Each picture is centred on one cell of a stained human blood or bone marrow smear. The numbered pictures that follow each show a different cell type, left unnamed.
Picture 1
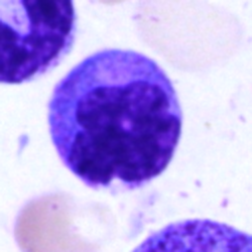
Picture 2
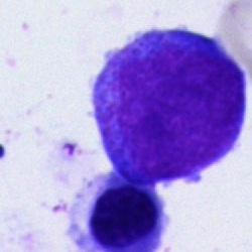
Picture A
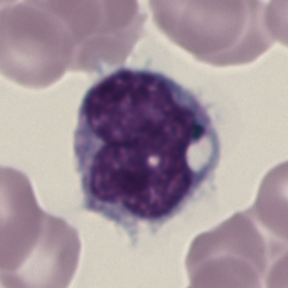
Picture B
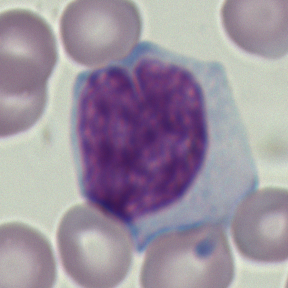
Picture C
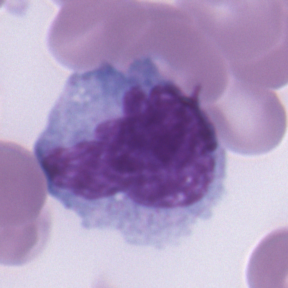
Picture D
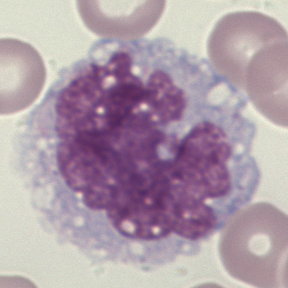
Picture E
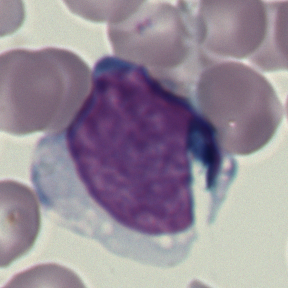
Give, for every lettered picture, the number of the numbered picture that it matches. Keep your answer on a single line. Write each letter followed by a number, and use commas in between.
A 1, B 2, C 1, D 1, E 2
